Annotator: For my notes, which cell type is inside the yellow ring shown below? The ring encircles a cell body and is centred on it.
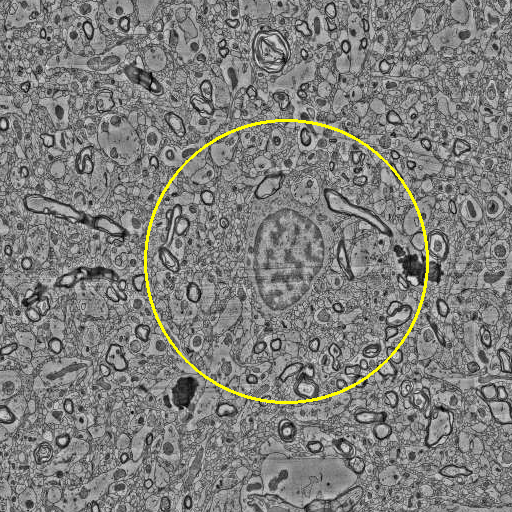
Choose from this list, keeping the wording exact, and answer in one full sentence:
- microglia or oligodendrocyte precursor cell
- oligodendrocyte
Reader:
At the centre of the yellow ring there is an oligodendrocyte, as shown in the picture.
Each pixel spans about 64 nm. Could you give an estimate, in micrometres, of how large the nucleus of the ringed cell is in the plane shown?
About 6 micrometres by about 5 micrometres in this plane.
